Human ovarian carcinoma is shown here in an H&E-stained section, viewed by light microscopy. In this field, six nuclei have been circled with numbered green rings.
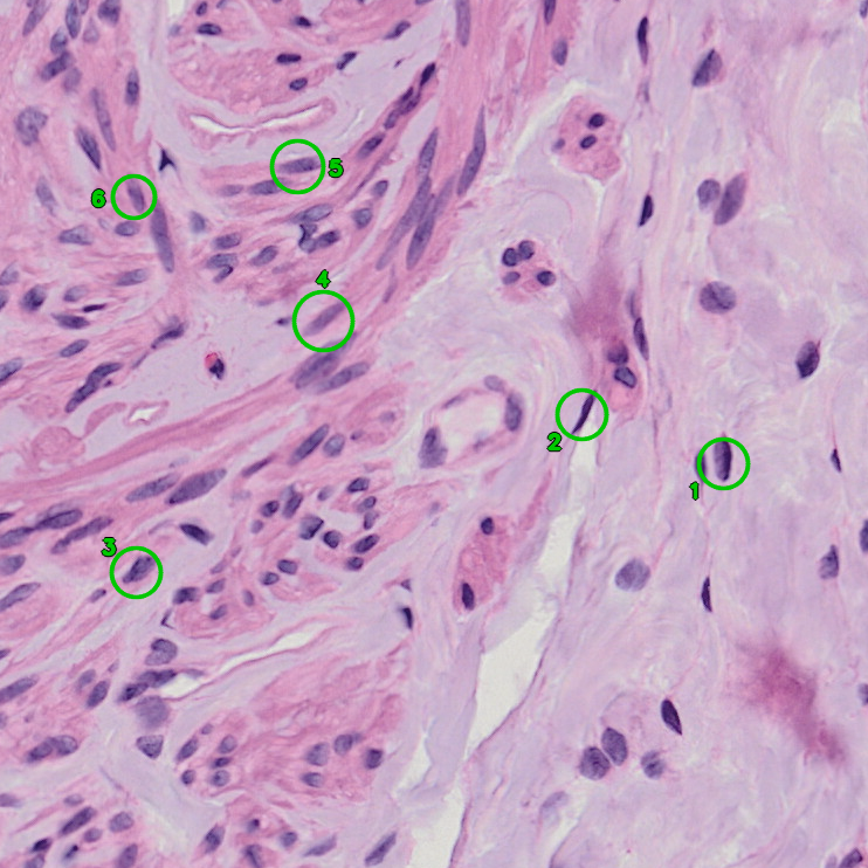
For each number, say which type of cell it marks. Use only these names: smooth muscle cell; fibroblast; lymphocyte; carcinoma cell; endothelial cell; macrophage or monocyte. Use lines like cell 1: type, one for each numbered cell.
cell 1: fibroblast
cell 2: fibroblast
cell 3: smooth muscle cell
cell 4: smooth muscle cell
cell 5: smooth muscle cell
cell 6: smooth muscle cell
